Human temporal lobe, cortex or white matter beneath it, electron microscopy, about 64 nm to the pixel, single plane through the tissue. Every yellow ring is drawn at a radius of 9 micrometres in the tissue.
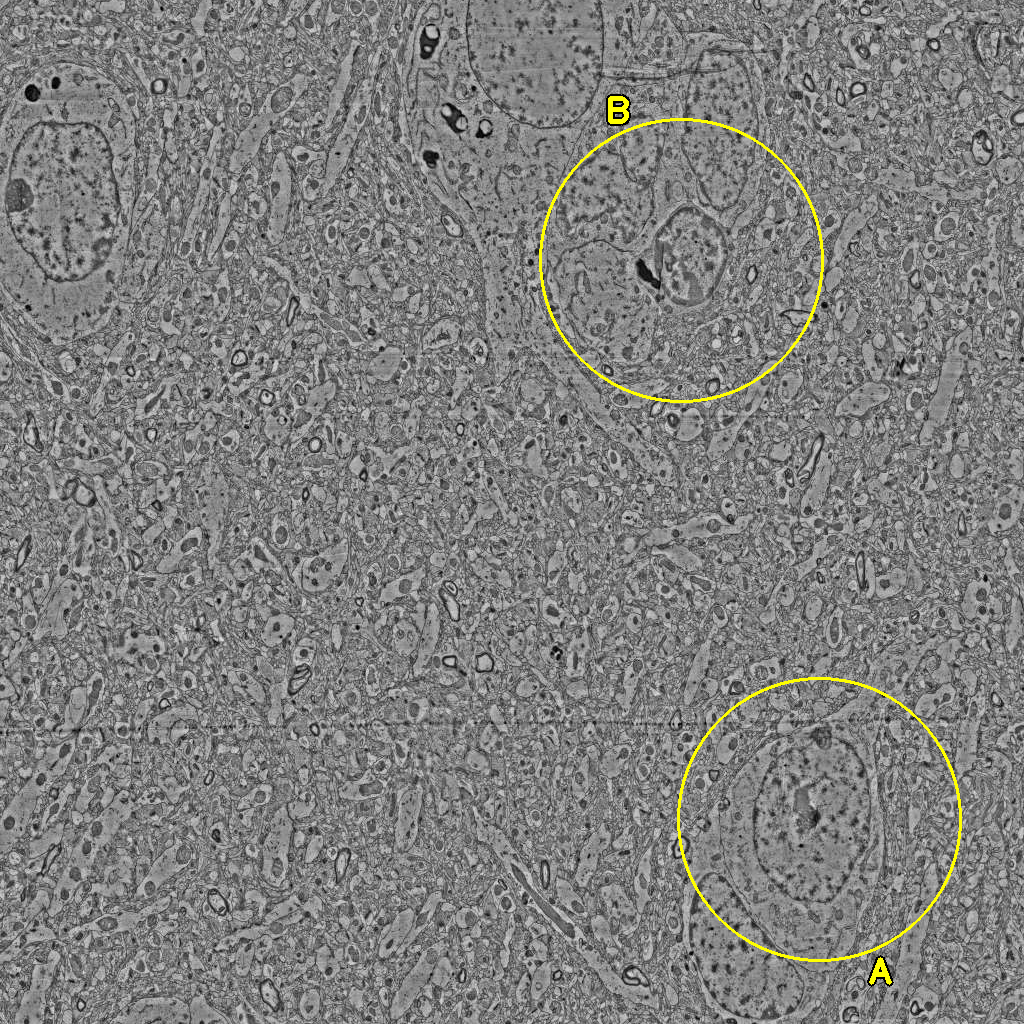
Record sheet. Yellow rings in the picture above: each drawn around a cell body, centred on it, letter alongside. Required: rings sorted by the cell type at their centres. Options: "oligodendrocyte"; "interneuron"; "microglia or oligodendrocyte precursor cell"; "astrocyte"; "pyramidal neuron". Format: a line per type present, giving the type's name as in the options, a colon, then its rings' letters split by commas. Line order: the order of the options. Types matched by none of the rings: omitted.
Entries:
oligodendrocyte: B
interneuron: A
